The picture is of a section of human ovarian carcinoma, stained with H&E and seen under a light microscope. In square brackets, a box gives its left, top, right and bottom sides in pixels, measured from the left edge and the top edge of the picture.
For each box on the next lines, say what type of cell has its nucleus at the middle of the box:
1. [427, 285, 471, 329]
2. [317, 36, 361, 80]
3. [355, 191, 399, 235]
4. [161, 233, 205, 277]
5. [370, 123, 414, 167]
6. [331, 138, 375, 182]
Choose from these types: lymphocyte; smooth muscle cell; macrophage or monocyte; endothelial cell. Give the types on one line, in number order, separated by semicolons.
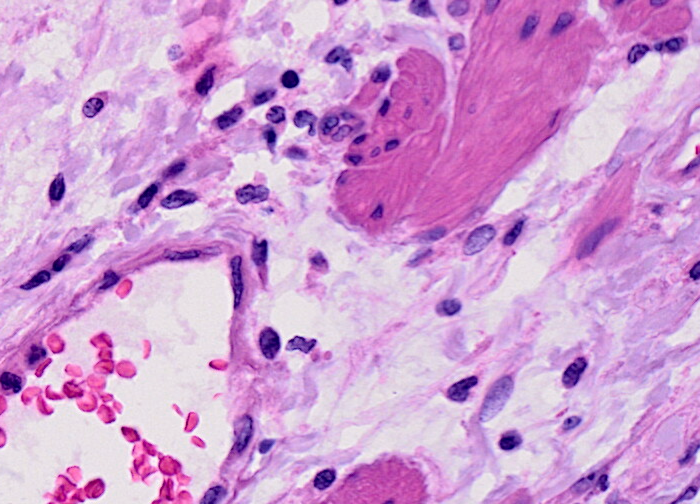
lymphocyte; macrophage or monocyte; smooth muscle cell; endothelial cell; smooth muscle cell; smooth muscle cell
